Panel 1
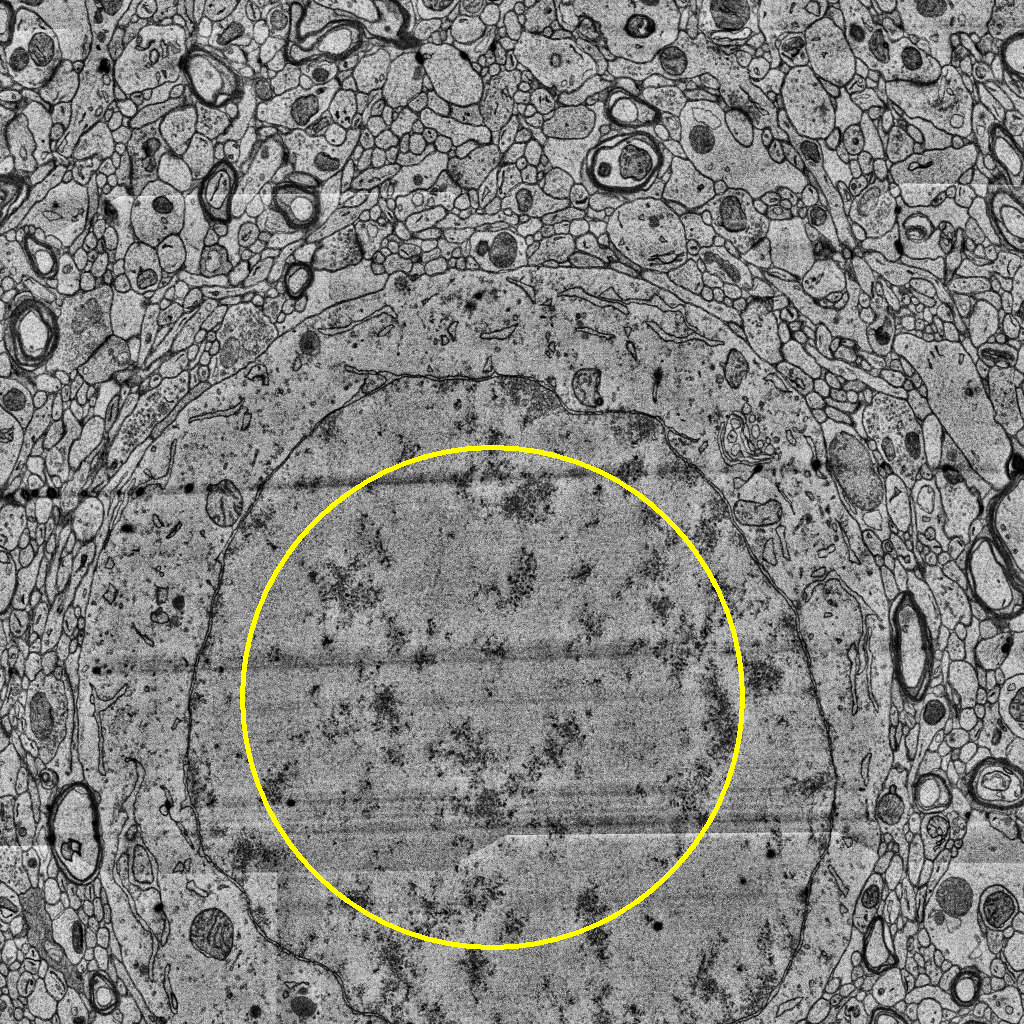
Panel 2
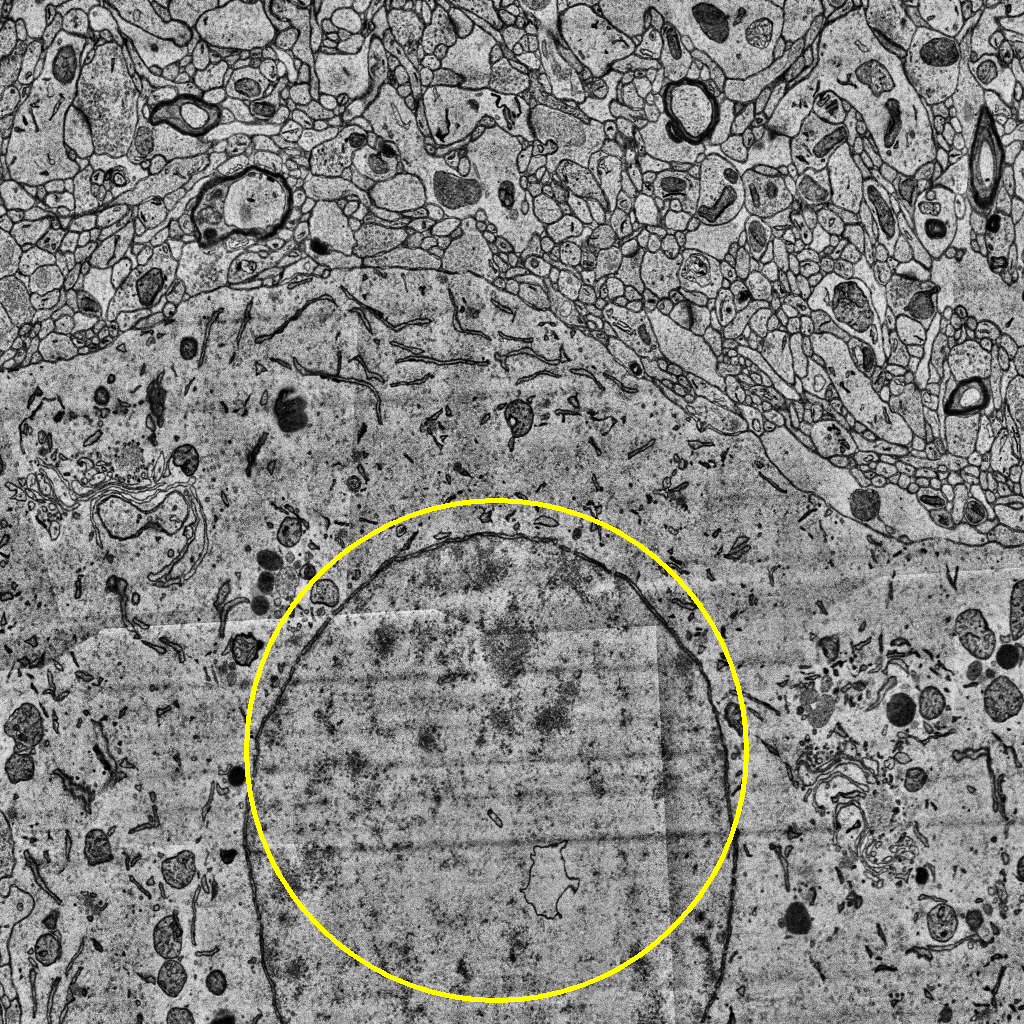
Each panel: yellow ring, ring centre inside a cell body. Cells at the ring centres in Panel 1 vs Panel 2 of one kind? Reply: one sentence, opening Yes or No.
Yes, Panel 1 and Panel 2 have cells of one kind at the ring centres.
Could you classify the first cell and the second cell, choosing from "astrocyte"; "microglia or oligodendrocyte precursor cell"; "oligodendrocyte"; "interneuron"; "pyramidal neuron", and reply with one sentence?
Each cell, in the first picture and the second, is a pyramidal neuron.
